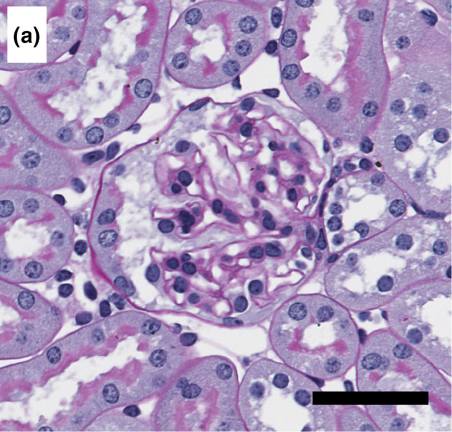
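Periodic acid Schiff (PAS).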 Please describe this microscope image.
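The tuft consists of many open capillary loops outlined by thin magenta walls, with dark nuclei scattered among them. A thin magenta capsule encloses the tuft, separated from it by a clear space. All around lie tubules of cuboidal cells with round nuclei and pinkish-grey cytoplasm, their lumens lined by magenta borders.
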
